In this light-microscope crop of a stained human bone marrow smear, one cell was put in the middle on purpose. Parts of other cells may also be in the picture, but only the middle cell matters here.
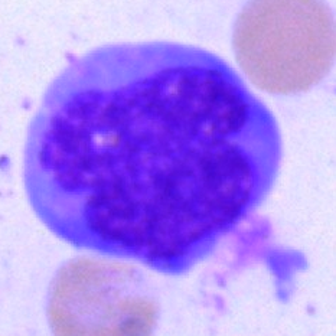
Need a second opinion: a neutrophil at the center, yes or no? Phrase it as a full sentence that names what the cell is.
No, the cell in the middle is not a neutrophil but a monocyte.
